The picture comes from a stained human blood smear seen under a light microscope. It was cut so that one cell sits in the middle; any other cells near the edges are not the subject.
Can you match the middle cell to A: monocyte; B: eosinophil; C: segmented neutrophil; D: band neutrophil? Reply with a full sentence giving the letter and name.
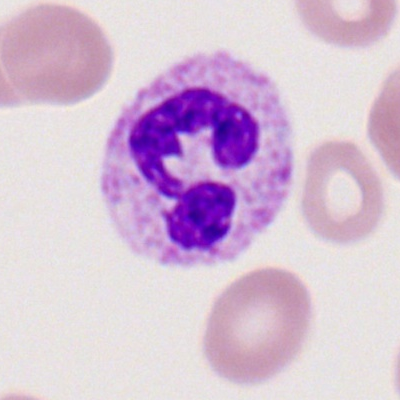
As the central cell is a segmented neutrophil, option C is correct.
